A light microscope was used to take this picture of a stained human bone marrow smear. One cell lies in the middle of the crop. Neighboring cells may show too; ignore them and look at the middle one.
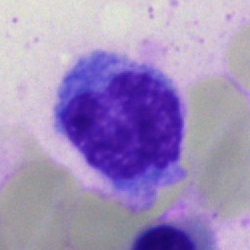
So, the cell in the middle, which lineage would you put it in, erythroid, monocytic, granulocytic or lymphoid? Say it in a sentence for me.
Regarding lineage, the cell in the center of this crop should be listed as monocytic.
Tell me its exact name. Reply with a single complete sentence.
The cell marked by its central position in the crop is a monocyte.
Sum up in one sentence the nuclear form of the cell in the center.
A single compact nucleus, round, oval or kidney-shaped, is what this cell shows.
